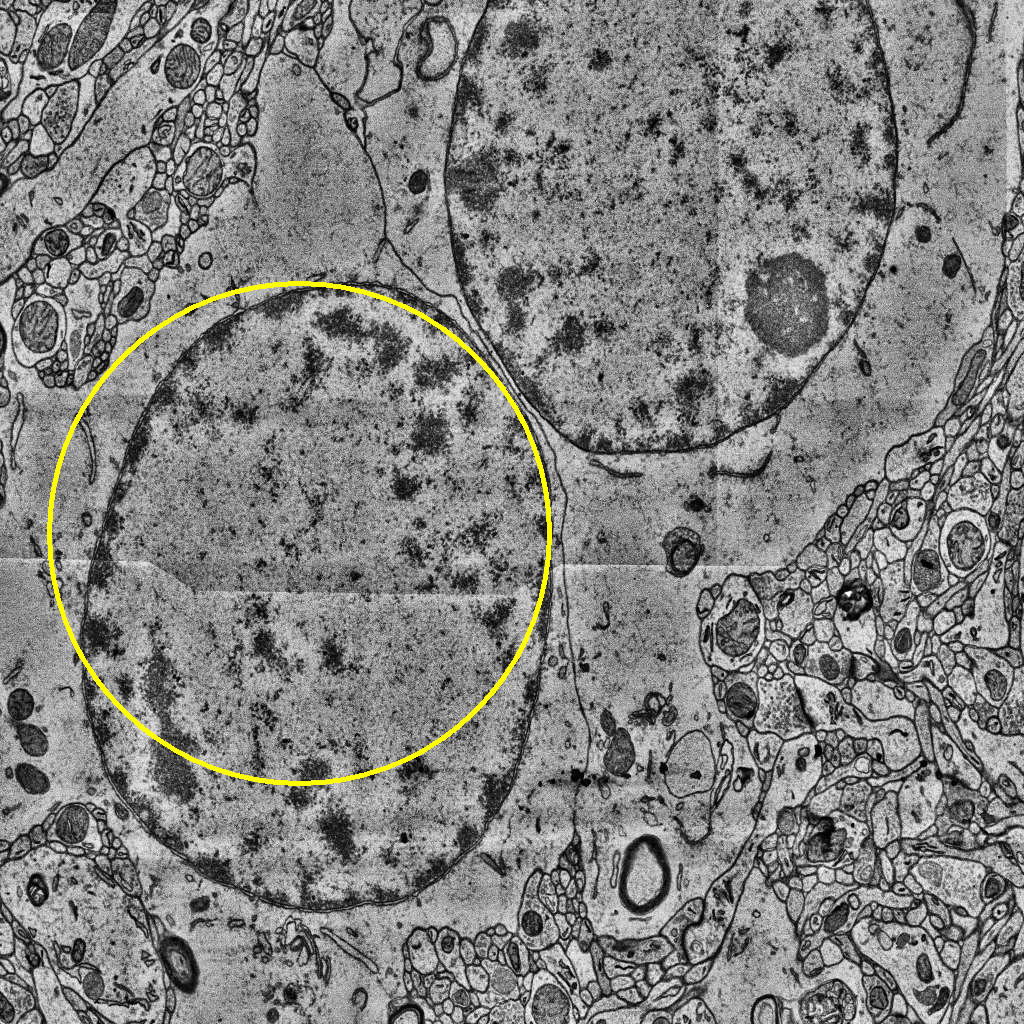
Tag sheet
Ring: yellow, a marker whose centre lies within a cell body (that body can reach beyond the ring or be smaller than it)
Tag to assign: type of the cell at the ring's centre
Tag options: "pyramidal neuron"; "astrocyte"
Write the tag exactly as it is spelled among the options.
astrocyte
